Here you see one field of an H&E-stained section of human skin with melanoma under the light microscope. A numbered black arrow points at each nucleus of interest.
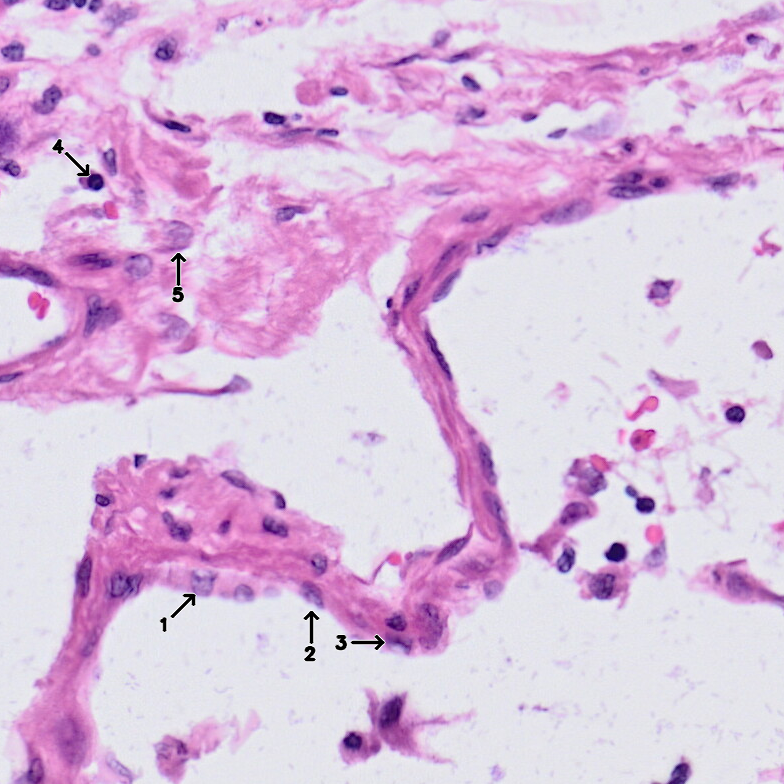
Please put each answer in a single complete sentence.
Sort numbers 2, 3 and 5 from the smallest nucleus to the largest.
The order from the smallest nucleus to the largest is 3, 2, 5.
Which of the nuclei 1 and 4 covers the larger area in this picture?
It is nucleus 1, which covers about 2 times the area of nucleus 4.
